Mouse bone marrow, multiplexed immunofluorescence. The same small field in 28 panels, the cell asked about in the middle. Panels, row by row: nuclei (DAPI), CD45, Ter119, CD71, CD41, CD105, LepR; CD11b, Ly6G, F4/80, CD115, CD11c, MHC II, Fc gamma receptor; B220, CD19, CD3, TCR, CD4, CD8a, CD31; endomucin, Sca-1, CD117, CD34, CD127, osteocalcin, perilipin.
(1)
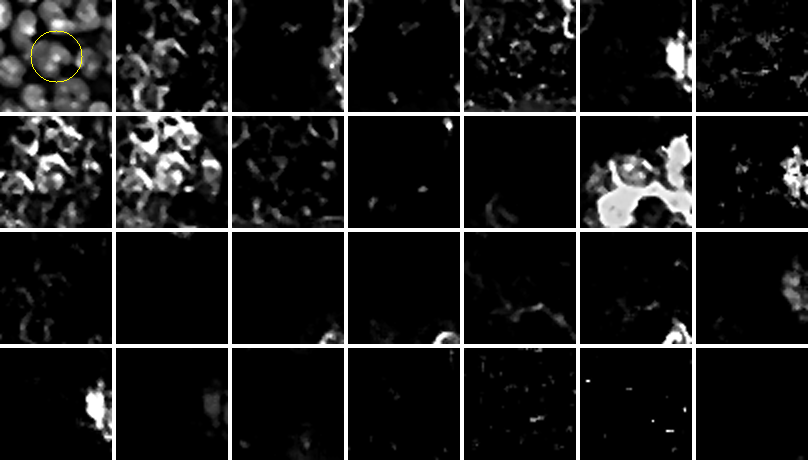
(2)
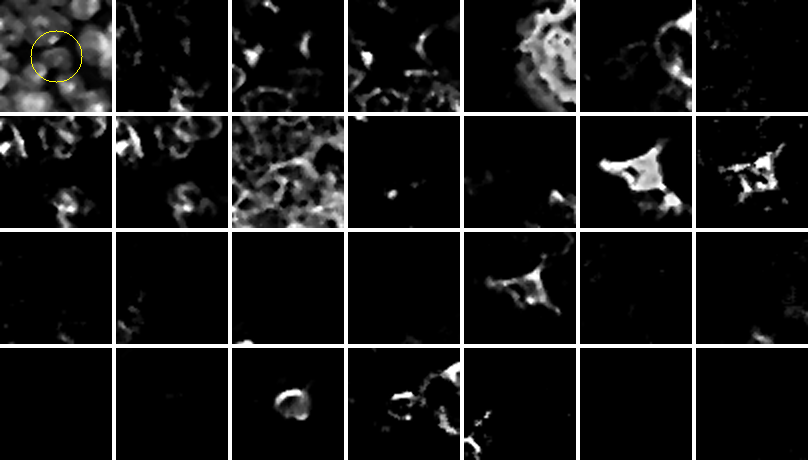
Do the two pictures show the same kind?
No: a neutrophil, then a granulocyte-monocyte progenitor.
